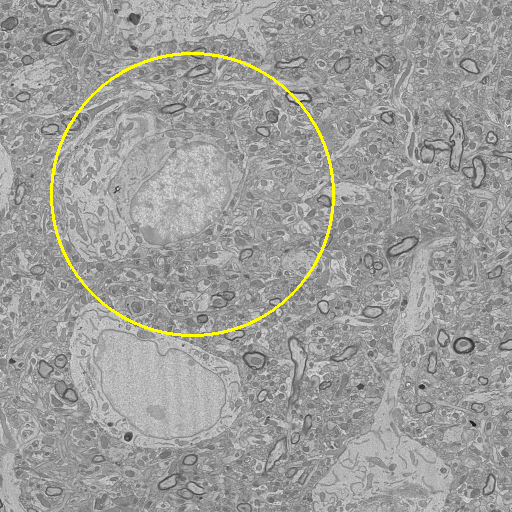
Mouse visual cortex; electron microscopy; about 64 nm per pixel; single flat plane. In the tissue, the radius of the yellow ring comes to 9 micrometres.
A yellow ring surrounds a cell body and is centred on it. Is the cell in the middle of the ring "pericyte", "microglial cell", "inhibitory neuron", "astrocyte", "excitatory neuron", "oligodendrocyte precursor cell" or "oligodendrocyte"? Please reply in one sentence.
The ring is centred on an oligodendrocyte.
